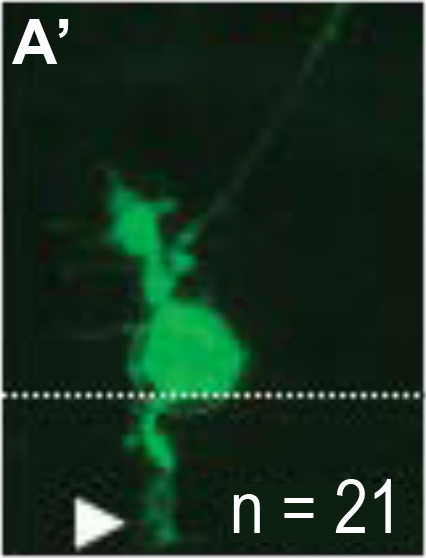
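From the top of the cell body a thicker, irregular process rises, with short side branches and a faint thin fibre running diagonally upward. From the bottom a narrower, beaded process descends across the dotted line and continues downward to a tip marked by a white arrowhead. No other cells are labeled in the field.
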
